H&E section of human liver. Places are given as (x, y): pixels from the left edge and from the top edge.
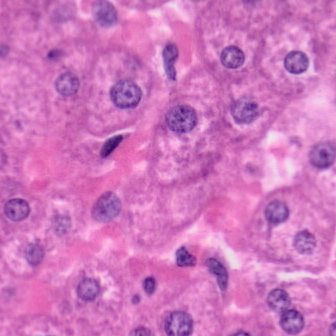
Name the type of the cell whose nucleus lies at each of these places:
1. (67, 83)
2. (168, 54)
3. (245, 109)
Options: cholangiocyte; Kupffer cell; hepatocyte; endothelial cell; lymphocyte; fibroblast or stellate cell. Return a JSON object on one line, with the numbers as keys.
{"1": "hepatocyte", "2": "Kupffer cell", "3": "hepatocyte"}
